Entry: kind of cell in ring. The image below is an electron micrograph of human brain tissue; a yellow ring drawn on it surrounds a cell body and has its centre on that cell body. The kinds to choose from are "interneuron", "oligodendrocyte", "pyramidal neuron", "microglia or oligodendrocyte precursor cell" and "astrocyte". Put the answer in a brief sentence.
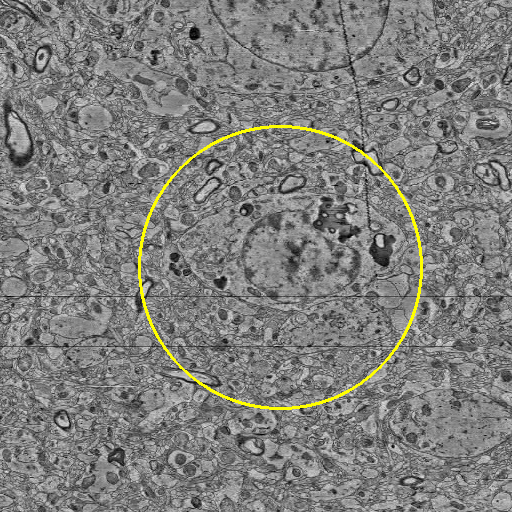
The ring has been drawn around an interneuron.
